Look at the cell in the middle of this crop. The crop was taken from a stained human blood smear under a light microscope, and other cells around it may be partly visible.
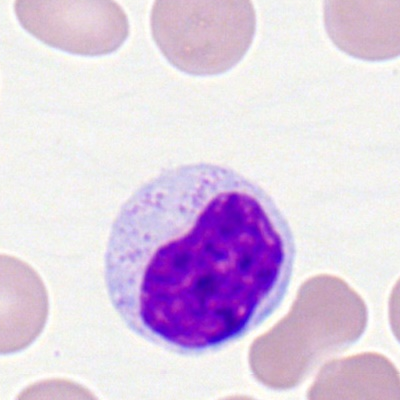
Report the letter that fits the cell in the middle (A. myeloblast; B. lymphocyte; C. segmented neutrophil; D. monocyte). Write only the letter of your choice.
B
